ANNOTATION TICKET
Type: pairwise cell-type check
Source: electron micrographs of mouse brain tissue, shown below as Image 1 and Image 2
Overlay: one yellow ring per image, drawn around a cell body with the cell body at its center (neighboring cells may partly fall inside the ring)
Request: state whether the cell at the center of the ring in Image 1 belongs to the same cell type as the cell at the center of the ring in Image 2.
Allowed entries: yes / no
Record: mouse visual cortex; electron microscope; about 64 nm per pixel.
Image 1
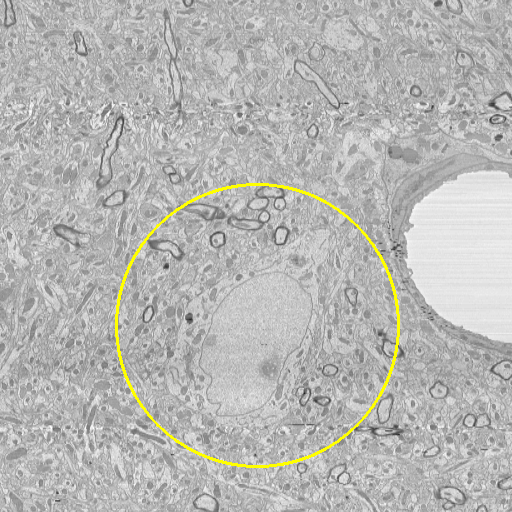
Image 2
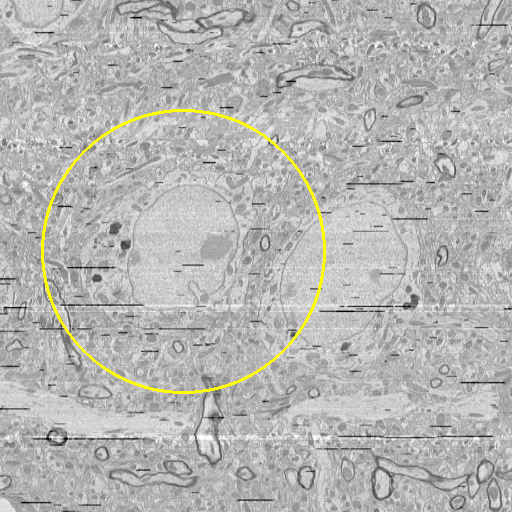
yes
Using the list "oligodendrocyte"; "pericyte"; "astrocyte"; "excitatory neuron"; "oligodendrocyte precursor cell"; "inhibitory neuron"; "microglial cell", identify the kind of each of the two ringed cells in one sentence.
Each of the ringed cells, first and second, is an excitatory neuron.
